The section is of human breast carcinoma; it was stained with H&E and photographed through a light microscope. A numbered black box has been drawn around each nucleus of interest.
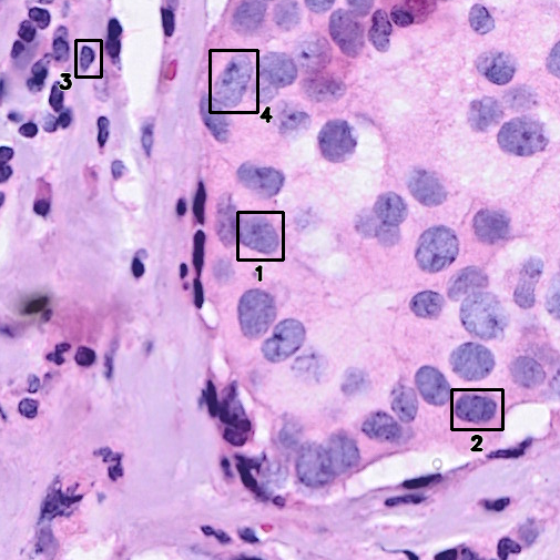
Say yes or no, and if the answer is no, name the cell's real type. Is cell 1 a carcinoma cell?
Yes.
